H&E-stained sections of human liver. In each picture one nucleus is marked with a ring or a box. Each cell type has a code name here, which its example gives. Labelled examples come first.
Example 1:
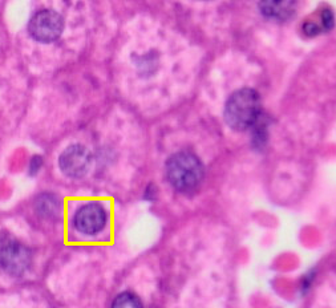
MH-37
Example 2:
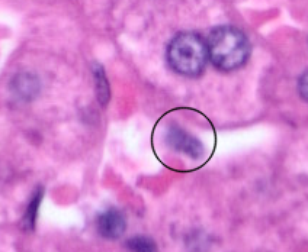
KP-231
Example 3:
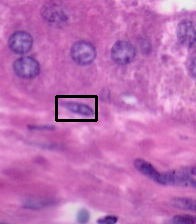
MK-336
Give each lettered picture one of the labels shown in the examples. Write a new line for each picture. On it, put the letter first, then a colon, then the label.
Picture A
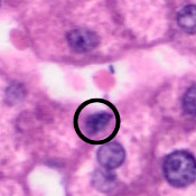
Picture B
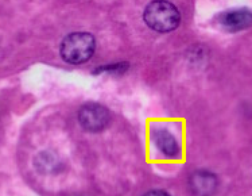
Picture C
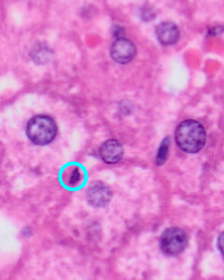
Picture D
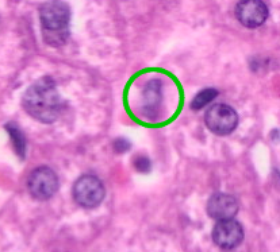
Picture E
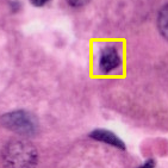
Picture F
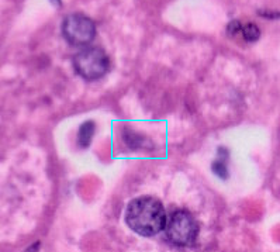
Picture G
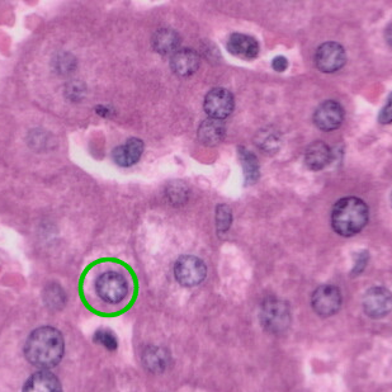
A: MK-336
B: KP-231
C: MK-336
D: KP-231
E: MK-336
F: KP-231
G: MH-37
